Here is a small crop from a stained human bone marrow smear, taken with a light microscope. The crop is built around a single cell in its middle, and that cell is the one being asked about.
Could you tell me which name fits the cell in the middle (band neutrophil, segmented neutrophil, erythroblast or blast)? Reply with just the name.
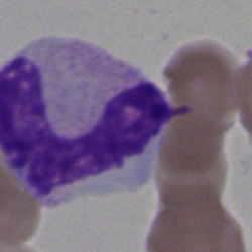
band neutrophil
